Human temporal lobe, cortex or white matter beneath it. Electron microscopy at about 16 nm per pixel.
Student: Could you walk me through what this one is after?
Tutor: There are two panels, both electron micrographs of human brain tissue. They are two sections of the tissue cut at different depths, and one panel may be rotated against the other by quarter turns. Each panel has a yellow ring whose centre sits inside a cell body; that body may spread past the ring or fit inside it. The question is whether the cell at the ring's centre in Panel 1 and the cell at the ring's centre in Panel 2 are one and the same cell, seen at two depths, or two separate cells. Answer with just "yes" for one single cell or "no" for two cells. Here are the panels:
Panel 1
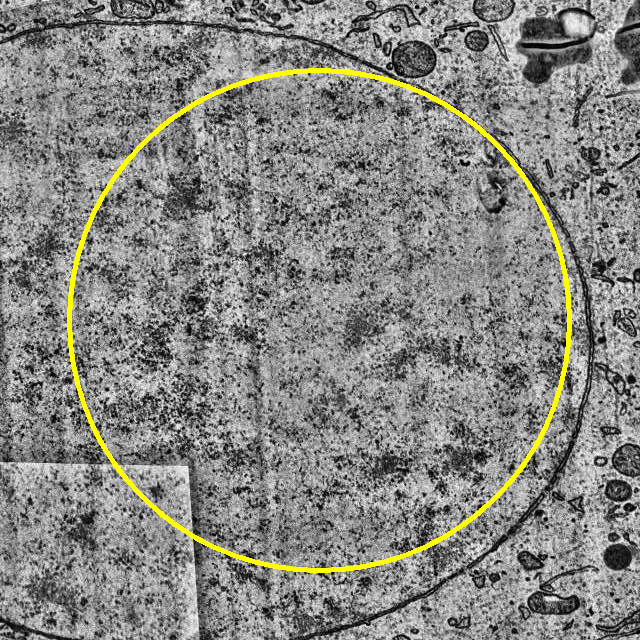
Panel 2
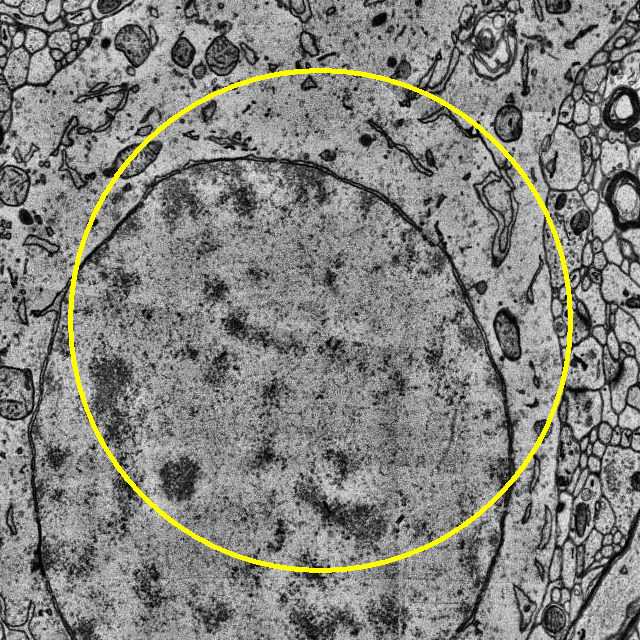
no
